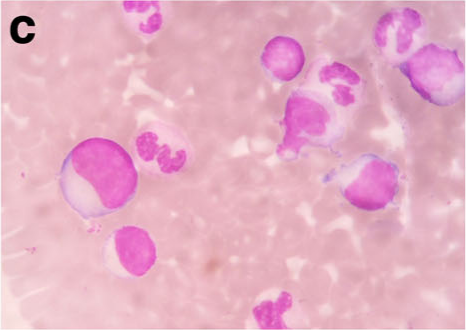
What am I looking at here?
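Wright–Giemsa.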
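Scattered white cells lie on a pale background, among them segmented neutrophils with lobed nuclei and several rounder mononuclear cells. One large cell at left has a big round magenta nucleus pushed to one side and a wide rim of pale cytoplasm with a faint bluish edge. Other mononuclear cells show irregular nuclei and moderate pale cytoplasm. The large mononuclear cells are atypical lymphocytes.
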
